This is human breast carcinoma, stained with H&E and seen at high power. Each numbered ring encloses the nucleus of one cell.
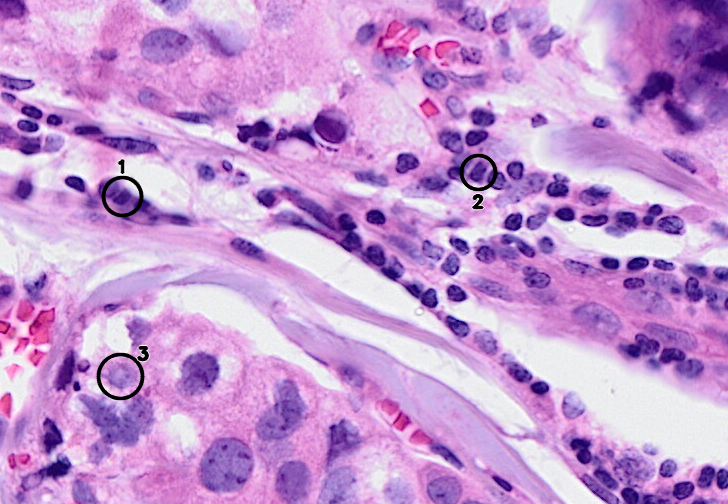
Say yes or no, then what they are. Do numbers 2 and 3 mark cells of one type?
No, cell 2 is a lymphocyte and cell 3 is a carcinoma cell.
